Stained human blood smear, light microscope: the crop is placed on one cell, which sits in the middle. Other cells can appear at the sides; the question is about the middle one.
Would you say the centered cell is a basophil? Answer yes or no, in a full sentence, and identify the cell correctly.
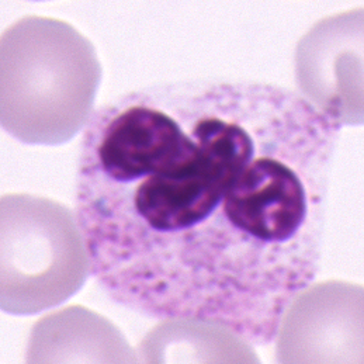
No, the cell under consideration is a neutrophil instead of a basophil.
